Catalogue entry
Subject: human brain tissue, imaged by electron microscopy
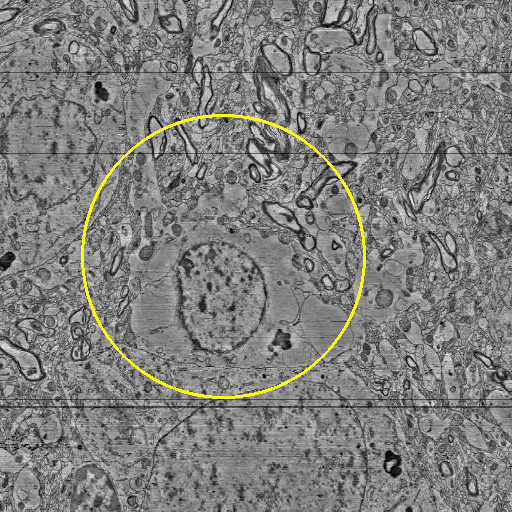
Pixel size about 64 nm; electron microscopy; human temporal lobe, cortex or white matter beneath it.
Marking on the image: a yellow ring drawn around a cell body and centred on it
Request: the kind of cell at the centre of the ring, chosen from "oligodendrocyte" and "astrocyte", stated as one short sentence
The ring has an astrocyte at its centre.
